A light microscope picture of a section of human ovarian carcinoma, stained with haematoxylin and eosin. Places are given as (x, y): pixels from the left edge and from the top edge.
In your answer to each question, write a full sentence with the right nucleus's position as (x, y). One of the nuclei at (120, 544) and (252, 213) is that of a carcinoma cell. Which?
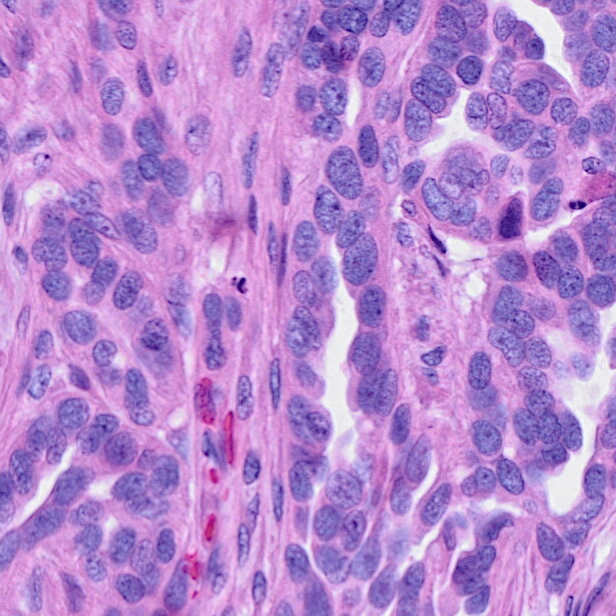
The nucleus at (120, 544) is the member of the pair belonging to a carcinoma cell.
